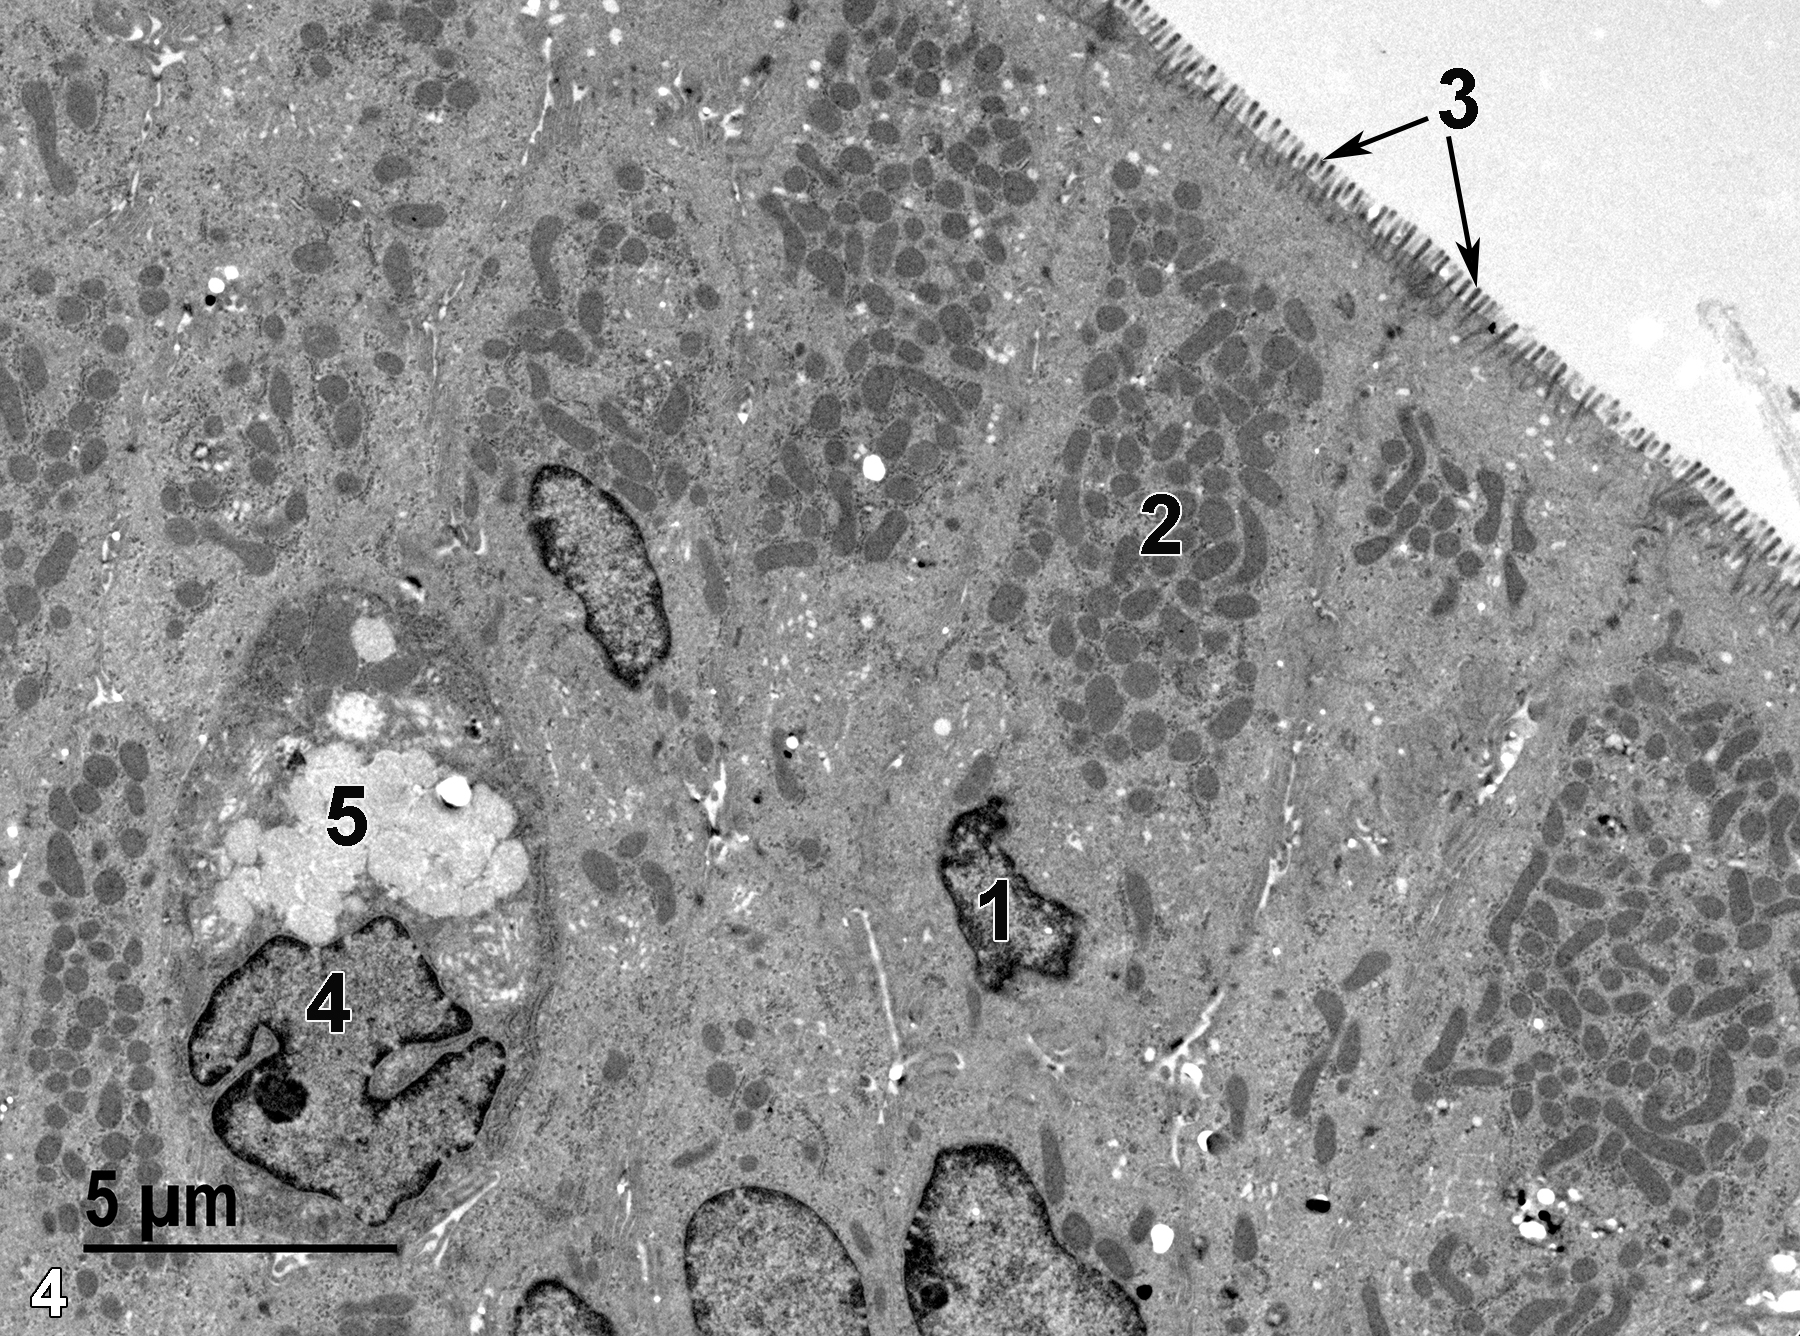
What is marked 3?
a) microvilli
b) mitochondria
a) microvilli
